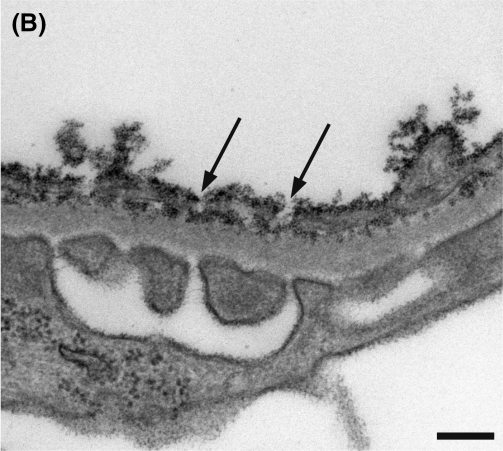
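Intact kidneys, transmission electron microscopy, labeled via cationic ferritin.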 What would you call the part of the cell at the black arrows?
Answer: endothelial fenestrations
